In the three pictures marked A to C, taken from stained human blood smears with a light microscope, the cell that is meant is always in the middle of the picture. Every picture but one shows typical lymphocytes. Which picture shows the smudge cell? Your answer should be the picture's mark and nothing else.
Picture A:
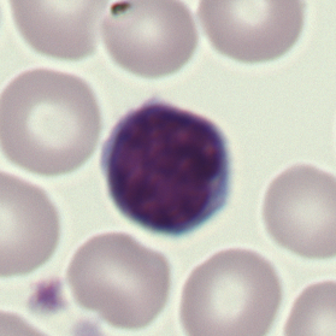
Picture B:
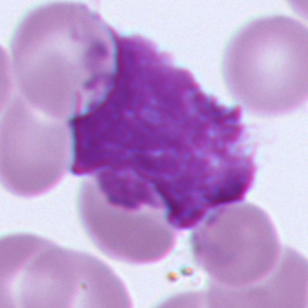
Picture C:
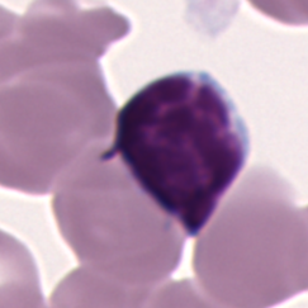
B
